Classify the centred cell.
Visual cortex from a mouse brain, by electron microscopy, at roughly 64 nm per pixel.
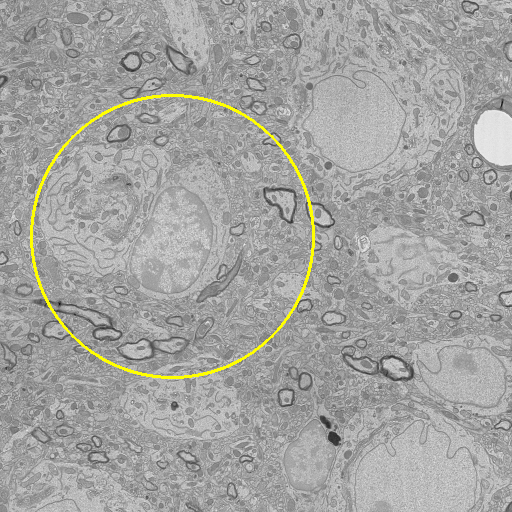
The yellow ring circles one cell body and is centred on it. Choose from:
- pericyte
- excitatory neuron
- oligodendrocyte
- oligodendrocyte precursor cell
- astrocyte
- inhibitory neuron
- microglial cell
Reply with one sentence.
The ring is centred on an oligodendrocyte.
